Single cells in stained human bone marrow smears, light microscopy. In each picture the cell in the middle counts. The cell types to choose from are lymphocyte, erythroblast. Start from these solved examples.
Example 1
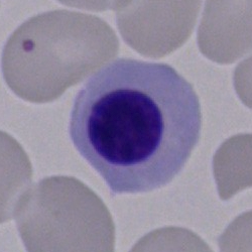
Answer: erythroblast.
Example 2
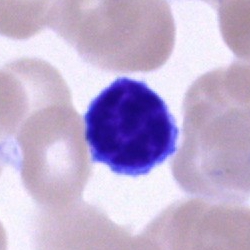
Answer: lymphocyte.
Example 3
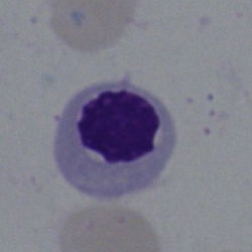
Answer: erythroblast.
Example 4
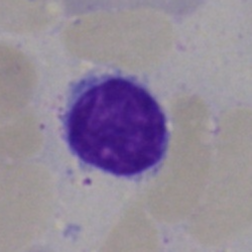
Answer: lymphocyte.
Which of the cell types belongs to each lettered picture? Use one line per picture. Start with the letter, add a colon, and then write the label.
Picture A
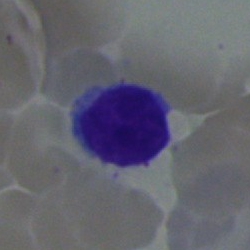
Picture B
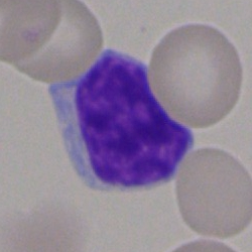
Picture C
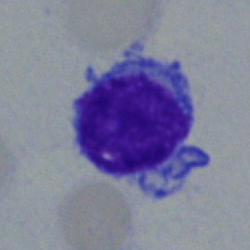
A: lymphocyte.
B: lymphocyte.
C: lymphocyte.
